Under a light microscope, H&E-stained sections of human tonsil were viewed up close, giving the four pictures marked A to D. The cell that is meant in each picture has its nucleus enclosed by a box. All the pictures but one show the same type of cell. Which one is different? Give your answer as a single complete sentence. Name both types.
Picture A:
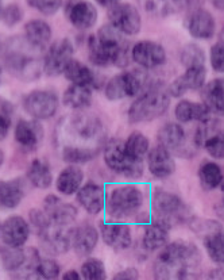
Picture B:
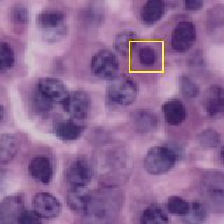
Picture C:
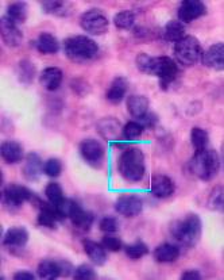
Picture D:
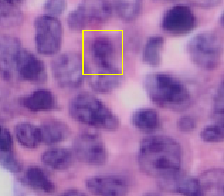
Picture B is the odd one out: it shows a plasma cell, while the others show proliferating B cells.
